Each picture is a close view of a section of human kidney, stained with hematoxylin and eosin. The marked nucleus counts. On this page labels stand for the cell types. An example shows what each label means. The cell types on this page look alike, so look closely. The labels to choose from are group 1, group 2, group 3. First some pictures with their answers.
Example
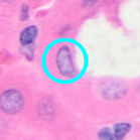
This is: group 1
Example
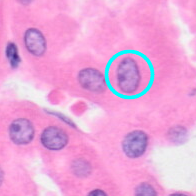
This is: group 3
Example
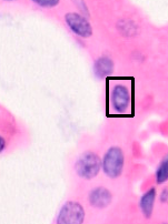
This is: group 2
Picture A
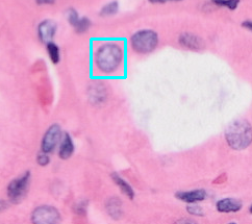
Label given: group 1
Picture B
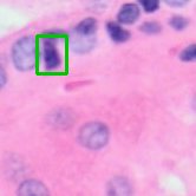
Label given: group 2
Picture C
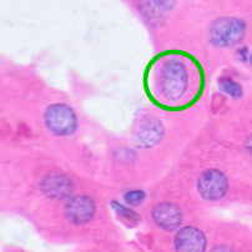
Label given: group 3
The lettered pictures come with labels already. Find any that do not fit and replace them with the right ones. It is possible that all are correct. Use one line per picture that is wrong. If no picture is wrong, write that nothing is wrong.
C: change group 3 to group 1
